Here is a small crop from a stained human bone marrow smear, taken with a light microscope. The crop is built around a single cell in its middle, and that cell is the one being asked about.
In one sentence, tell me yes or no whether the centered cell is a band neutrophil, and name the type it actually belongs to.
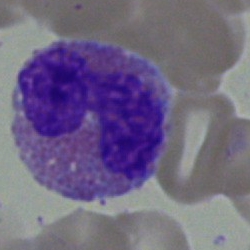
No, rather than a band neutrophil, the central cell is an eosinophil.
